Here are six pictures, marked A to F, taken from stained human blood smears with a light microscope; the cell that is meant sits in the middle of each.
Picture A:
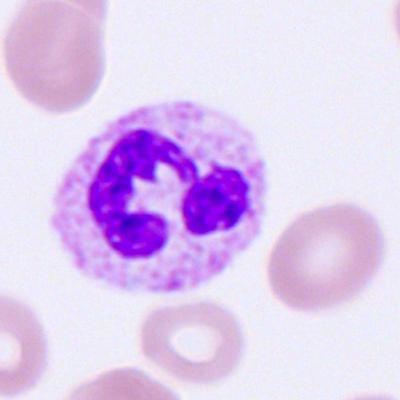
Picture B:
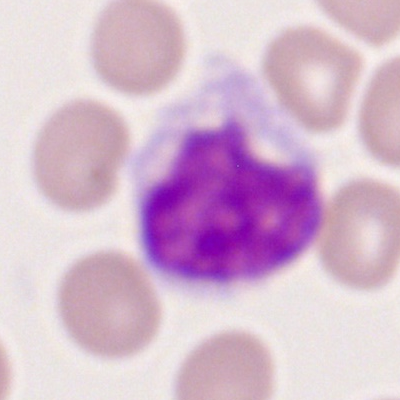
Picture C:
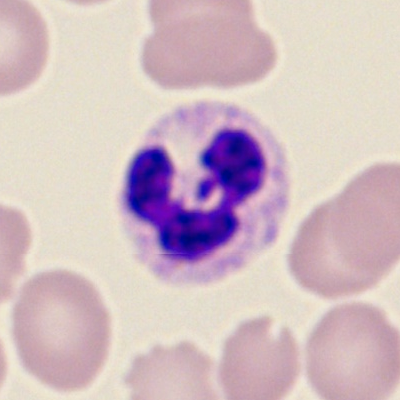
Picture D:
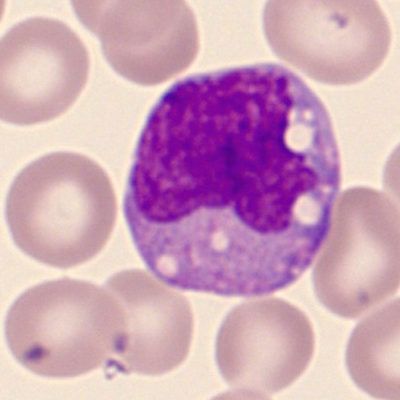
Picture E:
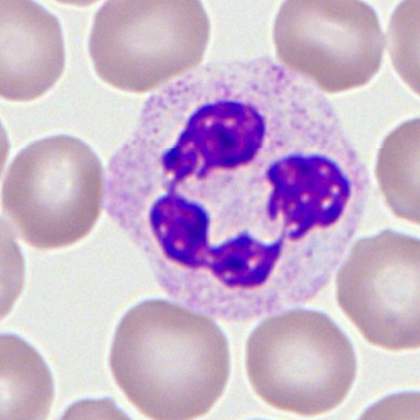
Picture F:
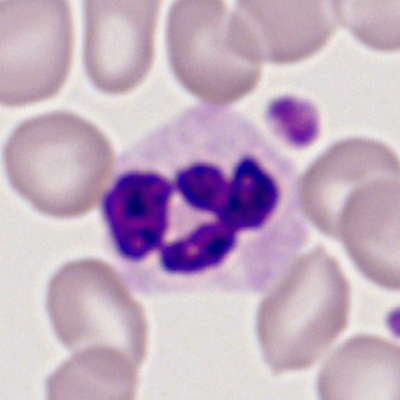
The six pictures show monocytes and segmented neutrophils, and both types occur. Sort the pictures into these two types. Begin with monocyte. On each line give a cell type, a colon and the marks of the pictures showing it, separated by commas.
monocyte: B, D
segmented neutrophil: A, C, E, F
